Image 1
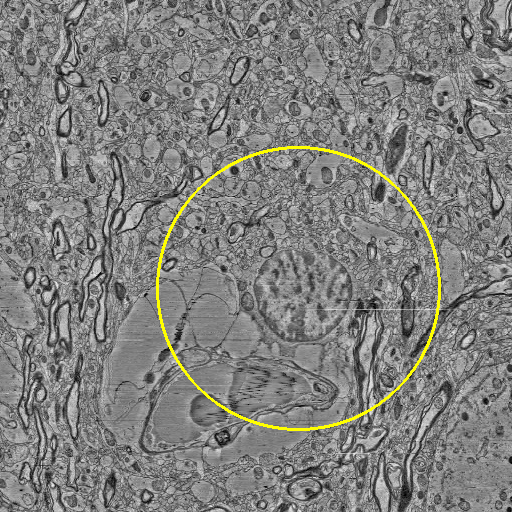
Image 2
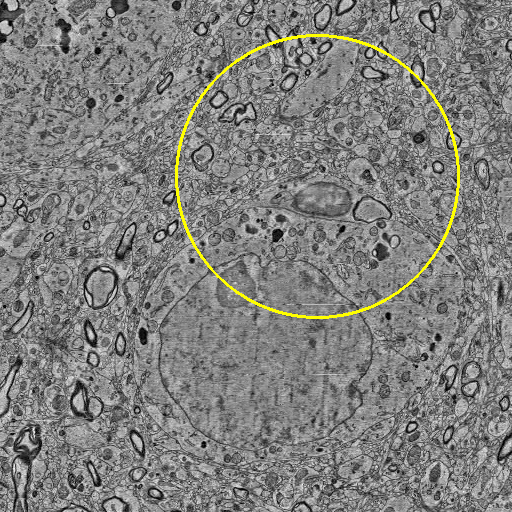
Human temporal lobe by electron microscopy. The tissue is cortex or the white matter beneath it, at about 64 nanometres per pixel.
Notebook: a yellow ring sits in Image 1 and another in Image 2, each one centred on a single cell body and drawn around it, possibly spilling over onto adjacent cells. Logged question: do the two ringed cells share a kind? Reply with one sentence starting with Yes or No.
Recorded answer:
Yes, both centre cells inside the rings of Image 1 and Image 2 share one kind.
